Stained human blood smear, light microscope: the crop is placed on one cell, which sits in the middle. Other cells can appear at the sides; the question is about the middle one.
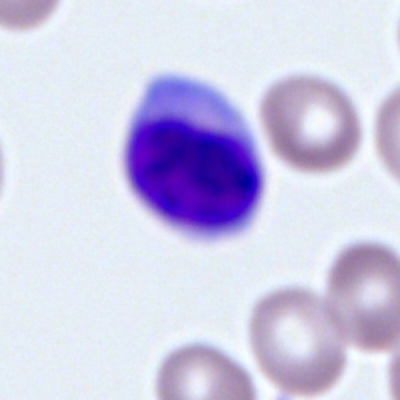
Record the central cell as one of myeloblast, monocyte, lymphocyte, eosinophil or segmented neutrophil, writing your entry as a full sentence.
Answering briefly, the cell in the middle is a lymphocyte.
